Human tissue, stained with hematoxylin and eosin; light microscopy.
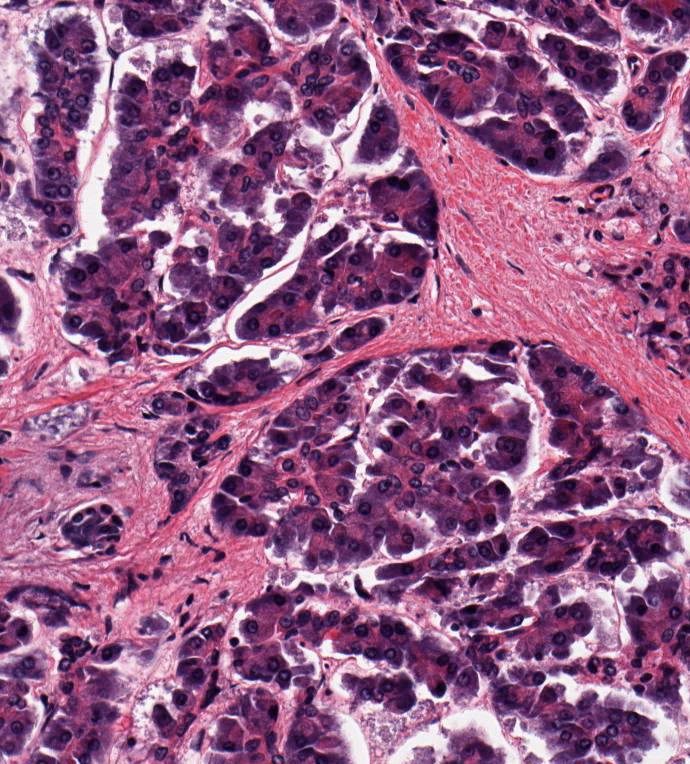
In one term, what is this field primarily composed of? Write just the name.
exocrine pancreas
